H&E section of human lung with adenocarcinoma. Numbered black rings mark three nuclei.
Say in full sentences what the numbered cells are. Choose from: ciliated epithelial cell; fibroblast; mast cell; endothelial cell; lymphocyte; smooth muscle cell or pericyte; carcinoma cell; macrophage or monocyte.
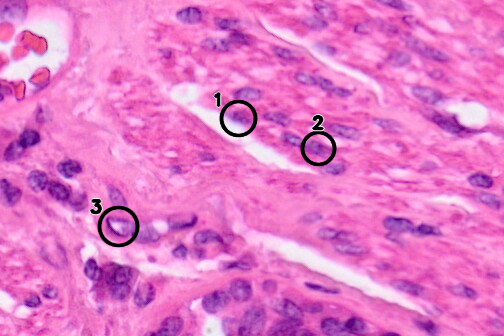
Cells 1 and 2 are smooth muscle cells or pericytes. Cell 3 is an endothelial cell.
